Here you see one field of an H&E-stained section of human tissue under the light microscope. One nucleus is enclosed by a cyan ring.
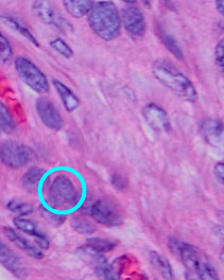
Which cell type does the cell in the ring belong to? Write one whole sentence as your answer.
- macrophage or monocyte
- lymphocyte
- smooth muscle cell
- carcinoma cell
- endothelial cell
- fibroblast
The category to which the cell in the ring belongs is that of a carcinoma cell.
